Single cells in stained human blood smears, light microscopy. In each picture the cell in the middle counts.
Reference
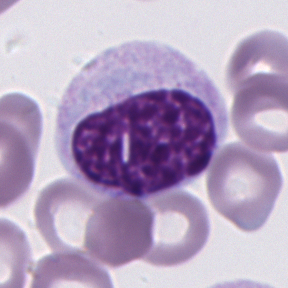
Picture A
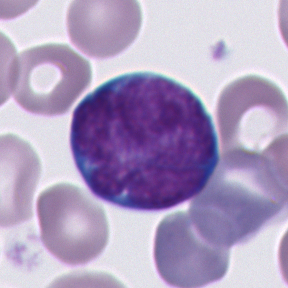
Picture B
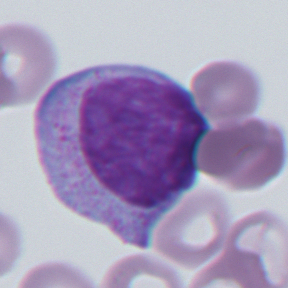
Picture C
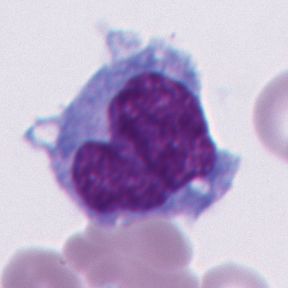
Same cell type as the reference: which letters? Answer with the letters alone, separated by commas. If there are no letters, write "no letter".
no letter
